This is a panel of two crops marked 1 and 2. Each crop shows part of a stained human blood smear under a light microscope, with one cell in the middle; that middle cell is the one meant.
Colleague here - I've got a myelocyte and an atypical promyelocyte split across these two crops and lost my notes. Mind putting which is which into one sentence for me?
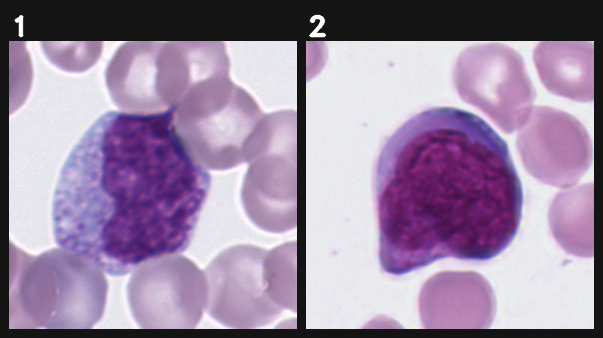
Crop 2 is an atypical promyelocyte, while crop 1 is a myelocyte.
